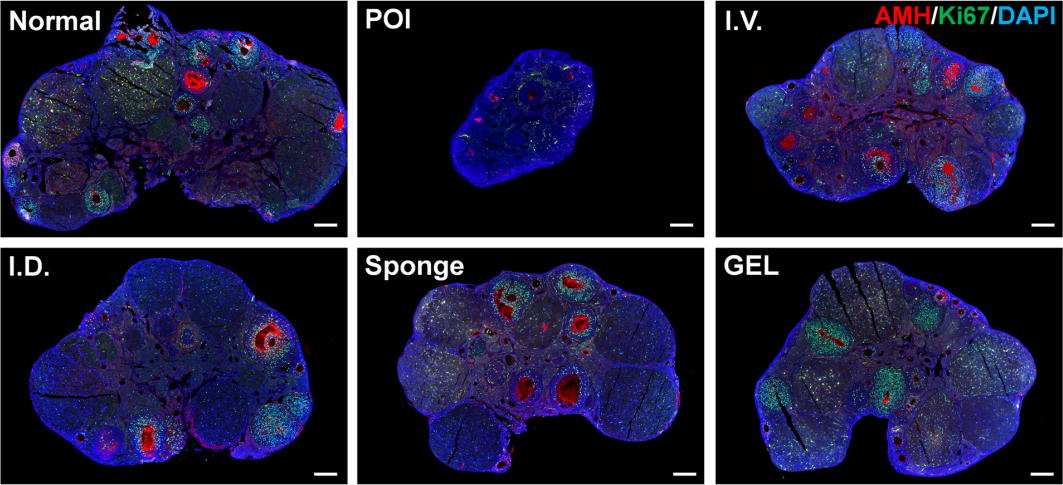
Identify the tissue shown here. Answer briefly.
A: Ovary.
